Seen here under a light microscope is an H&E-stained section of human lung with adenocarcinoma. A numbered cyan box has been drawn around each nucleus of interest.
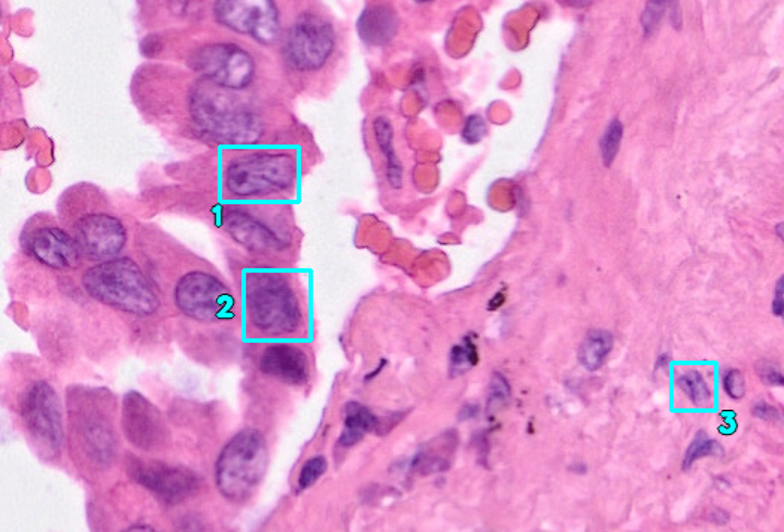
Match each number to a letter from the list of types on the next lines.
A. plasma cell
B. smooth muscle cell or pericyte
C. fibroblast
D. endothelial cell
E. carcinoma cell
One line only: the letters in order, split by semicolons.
E; E; C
